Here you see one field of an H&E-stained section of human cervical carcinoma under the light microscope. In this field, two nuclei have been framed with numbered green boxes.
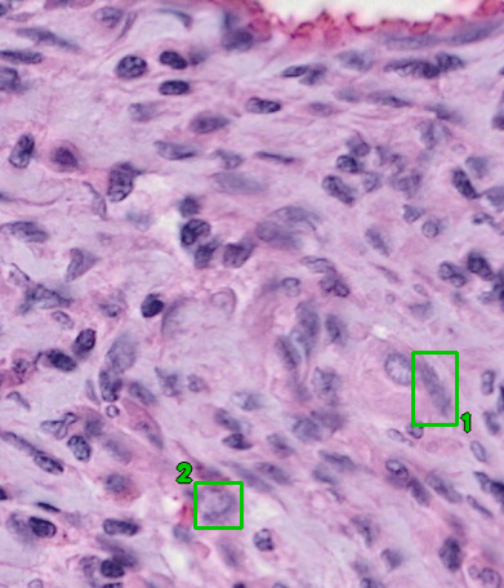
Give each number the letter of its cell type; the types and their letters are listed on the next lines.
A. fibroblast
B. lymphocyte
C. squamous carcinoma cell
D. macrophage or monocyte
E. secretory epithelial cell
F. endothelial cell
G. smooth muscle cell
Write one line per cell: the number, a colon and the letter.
1: G
2: F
